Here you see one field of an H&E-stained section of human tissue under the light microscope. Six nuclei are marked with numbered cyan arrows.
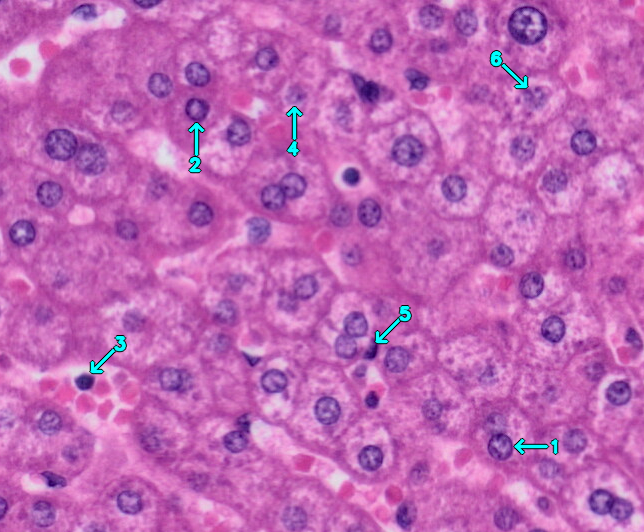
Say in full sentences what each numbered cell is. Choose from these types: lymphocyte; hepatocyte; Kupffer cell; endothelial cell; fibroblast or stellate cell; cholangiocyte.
Cells 1, 2, 4 and 6 are hepatocytes. Cell 3 is a lymphocyte. Cell 5 is a fibroblast or stellate cell.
